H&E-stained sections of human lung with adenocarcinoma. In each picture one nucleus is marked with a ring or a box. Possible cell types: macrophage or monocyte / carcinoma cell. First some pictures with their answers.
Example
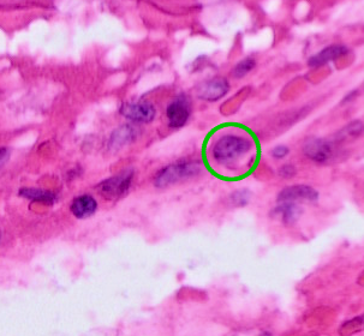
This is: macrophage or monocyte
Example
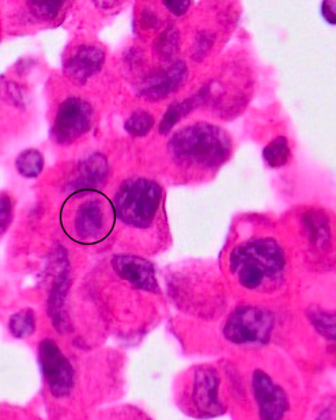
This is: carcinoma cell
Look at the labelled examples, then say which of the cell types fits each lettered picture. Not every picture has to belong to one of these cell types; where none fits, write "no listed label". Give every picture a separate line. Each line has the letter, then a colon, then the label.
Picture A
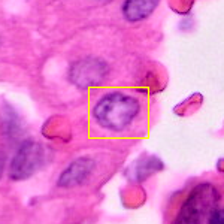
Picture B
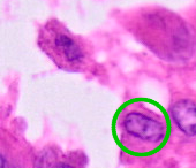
A: macrophage or monocyte
B: macrophage or monocyte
